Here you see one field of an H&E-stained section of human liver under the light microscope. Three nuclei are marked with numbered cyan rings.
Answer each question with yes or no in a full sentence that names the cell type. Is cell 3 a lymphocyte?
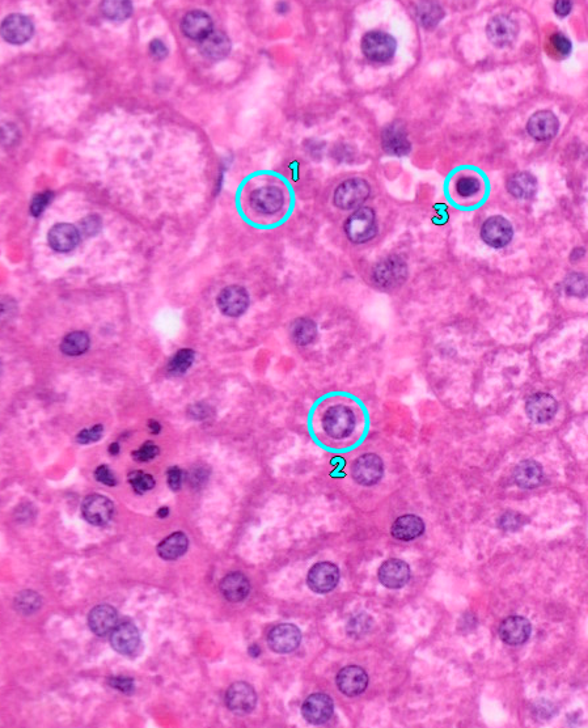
Yes, the numbered cell 3 is a lymphocyte.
